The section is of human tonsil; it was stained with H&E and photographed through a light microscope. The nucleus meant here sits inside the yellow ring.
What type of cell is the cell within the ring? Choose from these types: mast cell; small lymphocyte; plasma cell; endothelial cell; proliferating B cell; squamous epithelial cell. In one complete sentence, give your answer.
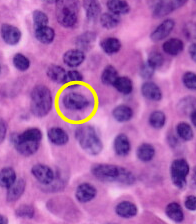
Within the stained tissue, the cell within the ring is a plasma cell.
